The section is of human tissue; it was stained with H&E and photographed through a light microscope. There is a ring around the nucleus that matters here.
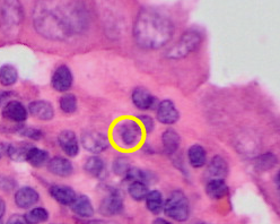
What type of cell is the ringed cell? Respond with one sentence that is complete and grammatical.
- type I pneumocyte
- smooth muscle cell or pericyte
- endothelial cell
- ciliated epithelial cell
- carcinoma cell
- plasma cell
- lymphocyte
It is as a lymphocyte that the ringed cell is recorded.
